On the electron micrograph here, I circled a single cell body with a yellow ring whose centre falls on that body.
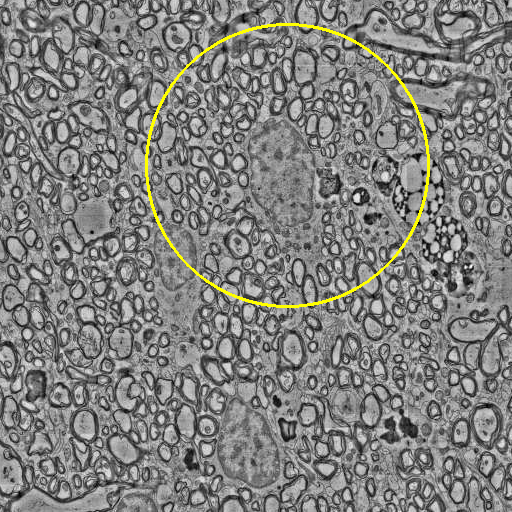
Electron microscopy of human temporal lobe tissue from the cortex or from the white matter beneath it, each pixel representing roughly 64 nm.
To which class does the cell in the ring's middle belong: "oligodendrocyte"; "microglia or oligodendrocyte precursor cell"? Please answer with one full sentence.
In this picture, the cell body circled at the ring's centre belongs to an oligodendrocyte.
